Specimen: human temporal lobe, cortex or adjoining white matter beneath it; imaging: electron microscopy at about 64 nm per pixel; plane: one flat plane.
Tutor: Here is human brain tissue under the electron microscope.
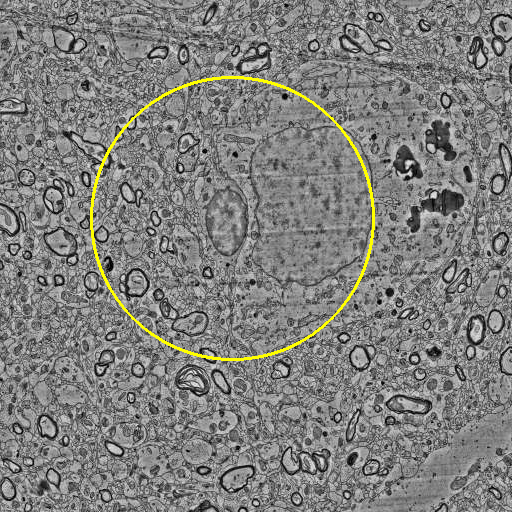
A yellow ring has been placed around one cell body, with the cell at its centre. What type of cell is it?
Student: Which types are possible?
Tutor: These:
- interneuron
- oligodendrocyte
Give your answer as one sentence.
What the ring picks out here is an oligodendrocyte.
